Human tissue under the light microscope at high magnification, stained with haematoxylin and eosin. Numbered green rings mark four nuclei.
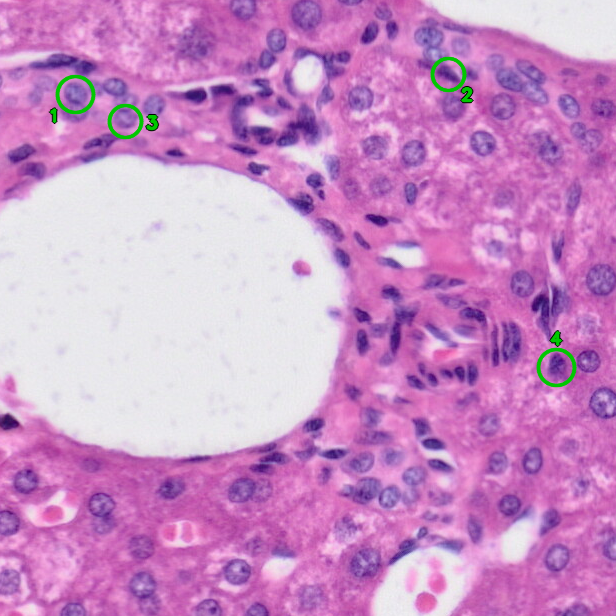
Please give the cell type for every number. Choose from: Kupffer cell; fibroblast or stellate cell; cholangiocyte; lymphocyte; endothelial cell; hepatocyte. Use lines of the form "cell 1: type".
cell 1: cholangiocyte
cell 2: fibroblast or stellate cell
cell 3: cholangiocyte
cell 4: fibroblast or stellate cell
